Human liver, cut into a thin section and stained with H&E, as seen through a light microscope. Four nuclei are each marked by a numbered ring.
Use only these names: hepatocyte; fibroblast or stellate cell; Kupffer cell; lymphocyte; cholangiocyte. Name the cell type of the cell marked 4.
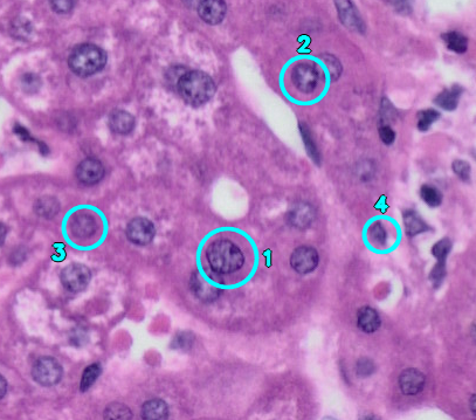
fibroblast or stellate cell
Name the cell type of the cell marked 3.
hepatocyte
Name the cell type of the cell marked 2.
hepatocyte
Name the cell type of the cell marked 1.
hepatocyte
